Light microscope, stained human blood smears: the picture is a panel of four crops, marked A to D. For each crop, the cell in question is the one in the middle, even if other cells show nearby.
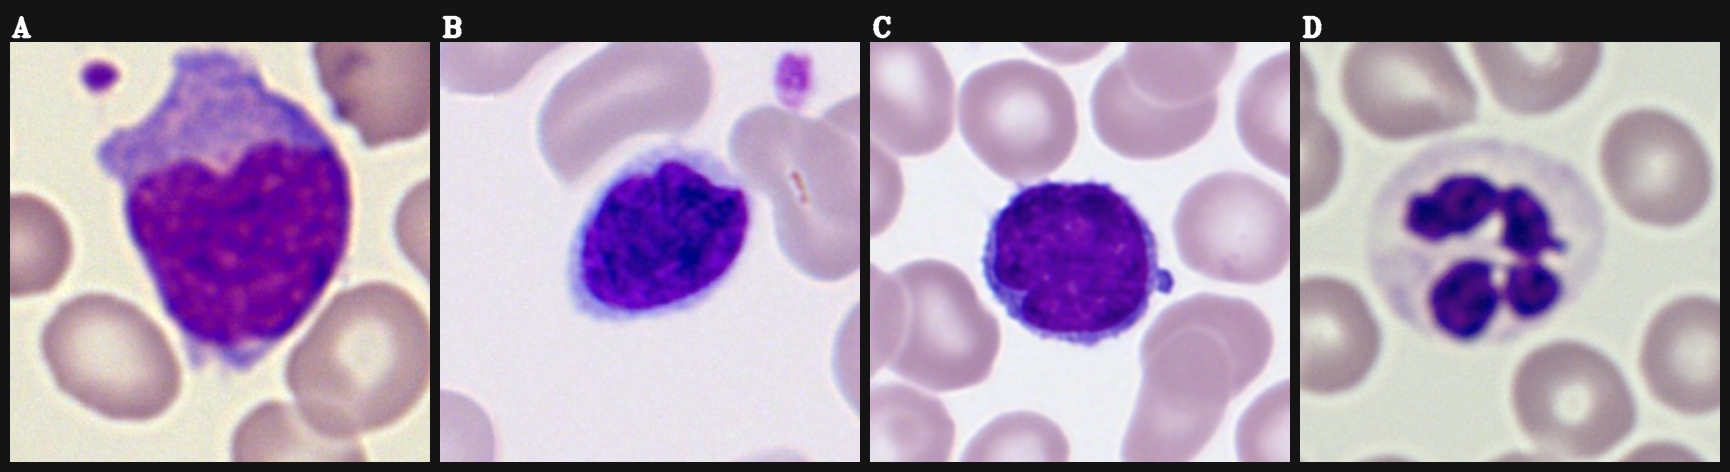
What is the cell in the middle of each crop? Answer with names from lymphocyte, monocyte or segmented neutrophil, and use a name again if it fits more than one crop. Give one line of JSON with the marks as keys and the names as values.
{"A": "monocyte", "B": "lymphocyte", "C": "lymphocyte", "D": "segmented neutrophil"}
